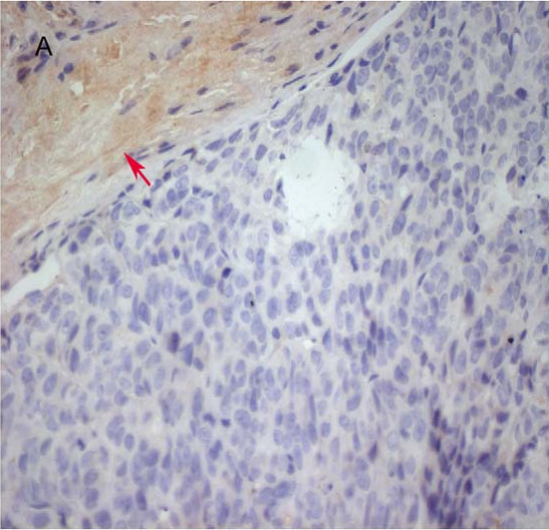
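This is tumor tissue made of a solid sheet of densely packed tumor cells with oval to irregular blue nuclei and scant cytoplasm. The cells lie crowded without any gland or layer formation, and their nuclei vary in size and shape. At the upper left, a broad pale-brown band of stroma with a few flattened spindle nuclei borders the tumor mass evenly along its edge. The tumor cells themselves are essentially unstained.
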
